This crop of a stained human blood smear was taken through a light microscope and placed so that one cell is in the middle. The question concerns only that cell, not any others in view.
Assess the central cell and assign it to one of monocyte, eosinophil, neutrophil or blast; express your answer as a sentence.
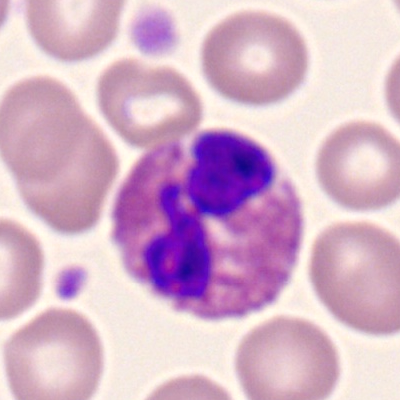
What the crop centres on is an eosinophil.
